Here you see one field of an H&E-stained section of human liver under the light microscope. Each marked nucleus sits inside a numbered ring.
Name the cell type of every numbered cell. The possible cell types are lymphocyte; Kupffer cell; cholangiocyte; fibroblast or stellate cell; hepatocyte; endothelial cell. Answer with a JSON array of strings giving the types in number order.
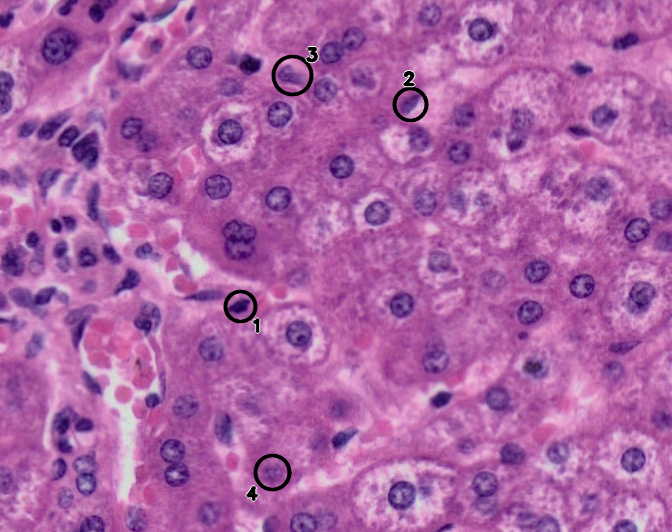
["fibroblast or stellate cell", "endothelial cell", "Kupffer cell", "hepatocyte"]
